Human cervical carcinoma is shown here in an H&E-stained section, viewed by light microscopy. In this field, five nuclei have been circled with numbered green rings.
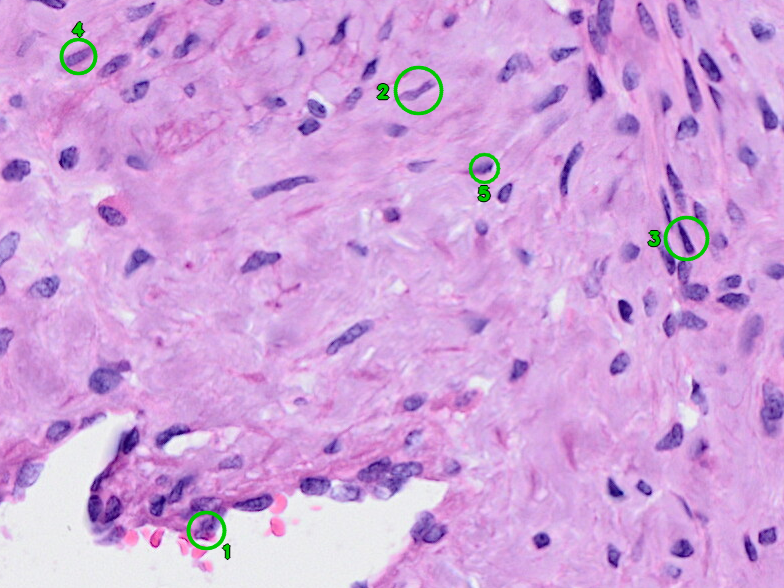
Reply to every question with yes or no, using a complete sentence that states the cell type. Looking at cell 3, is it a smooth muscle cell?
No, for cell 3, the correct identification is a fibroblast instead of a smooth muscle cell.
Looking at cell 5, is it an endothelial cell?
No; cell 5 is a fibroblast, not an endothelial cell.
